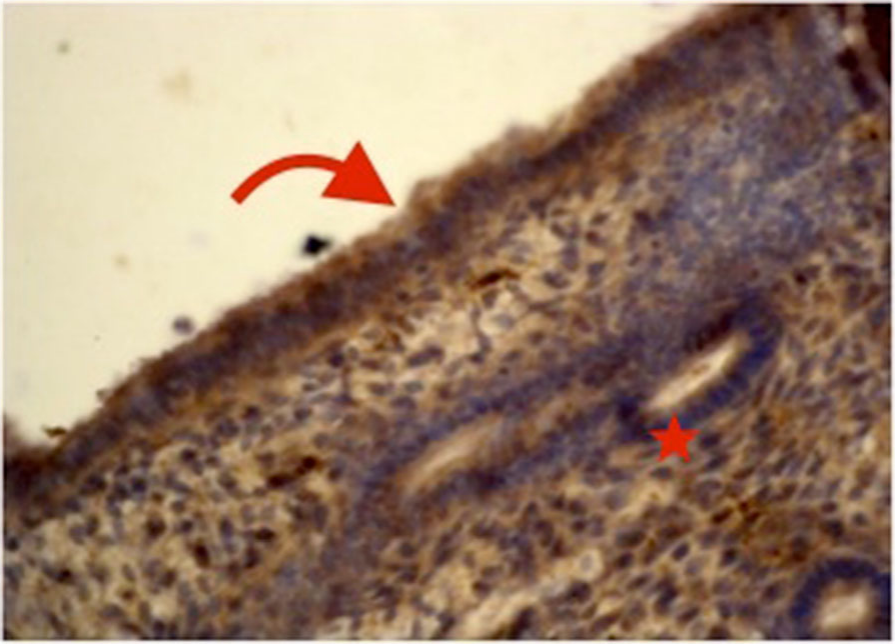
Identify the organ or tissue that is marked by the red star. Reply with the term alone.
Glandular Epithelium.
